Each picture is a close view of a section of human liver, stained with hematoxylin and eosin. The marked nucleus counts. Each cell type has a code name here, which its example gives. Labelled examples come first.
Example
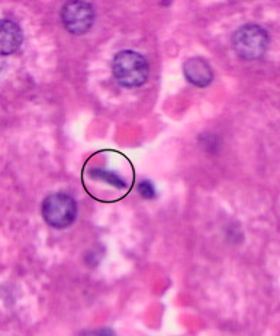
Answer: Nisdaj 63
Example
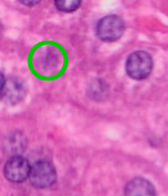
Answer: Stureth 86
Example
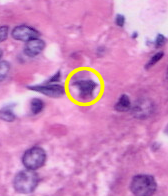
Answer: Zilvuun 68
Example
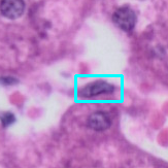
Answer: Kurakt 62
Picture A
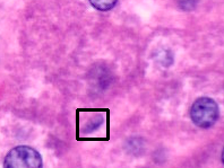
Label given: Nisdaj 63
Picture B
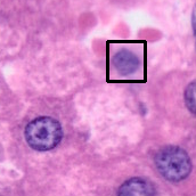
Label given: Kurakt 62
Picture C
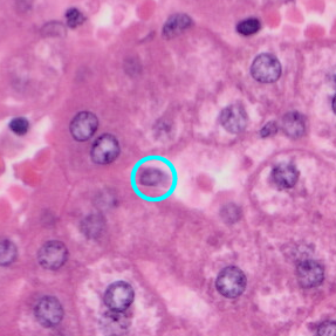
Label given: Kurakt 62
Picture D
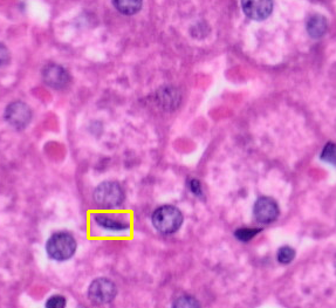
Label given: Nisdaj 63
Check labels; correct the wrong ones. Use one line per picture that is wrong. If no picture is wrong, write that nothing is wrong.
All correct.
